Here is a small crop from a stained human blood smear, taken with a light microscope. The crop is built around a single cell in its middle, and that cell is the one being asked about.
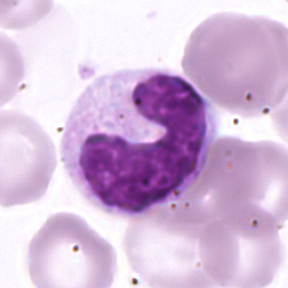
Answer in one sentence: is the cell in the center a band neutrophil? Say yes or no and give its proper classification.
Yes, this crop has a band neutrophil at its centre.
